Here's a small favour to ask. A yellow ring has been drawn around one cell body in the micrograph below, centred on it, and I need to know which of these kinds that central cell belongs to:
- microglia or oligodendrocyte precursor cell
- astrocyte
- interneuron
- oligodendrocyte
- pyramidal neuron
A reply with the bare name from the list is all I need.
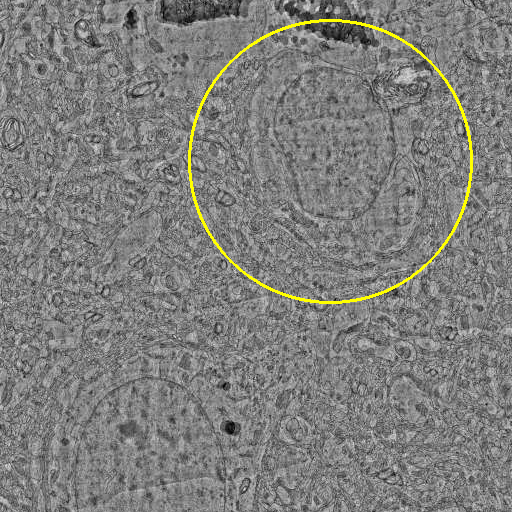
astrocyte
